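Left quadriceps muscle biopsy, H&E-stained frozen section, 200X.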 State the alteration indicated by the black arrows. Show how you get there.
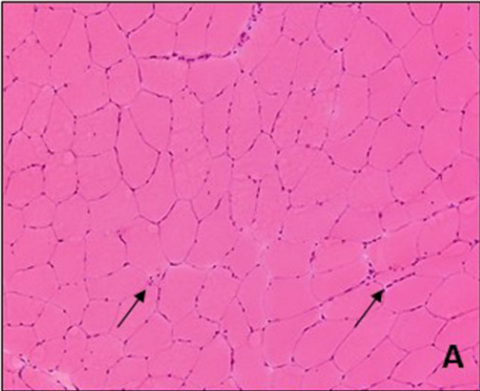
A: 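Angulated atrophic fibers. The arrows point to small fibers among larger polygonal muscle fibers. Dark nuclei cluster at the spots the arrows indicate.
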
